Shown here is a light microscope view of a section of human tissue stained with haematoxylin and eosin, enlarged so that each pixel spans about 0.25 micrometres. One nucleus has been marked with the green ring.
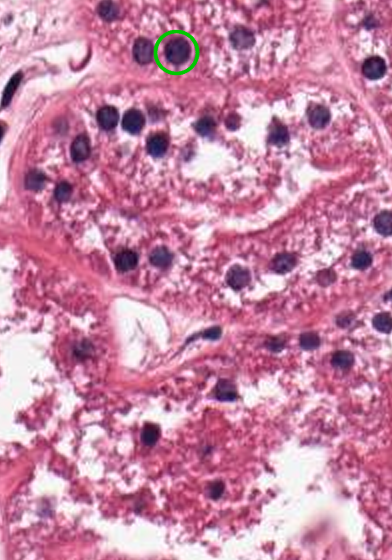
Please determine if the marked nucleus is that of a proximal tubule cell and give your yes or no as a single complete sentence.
Yes, the marked nucleus represents the nucleus of a proximal tubule cell.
